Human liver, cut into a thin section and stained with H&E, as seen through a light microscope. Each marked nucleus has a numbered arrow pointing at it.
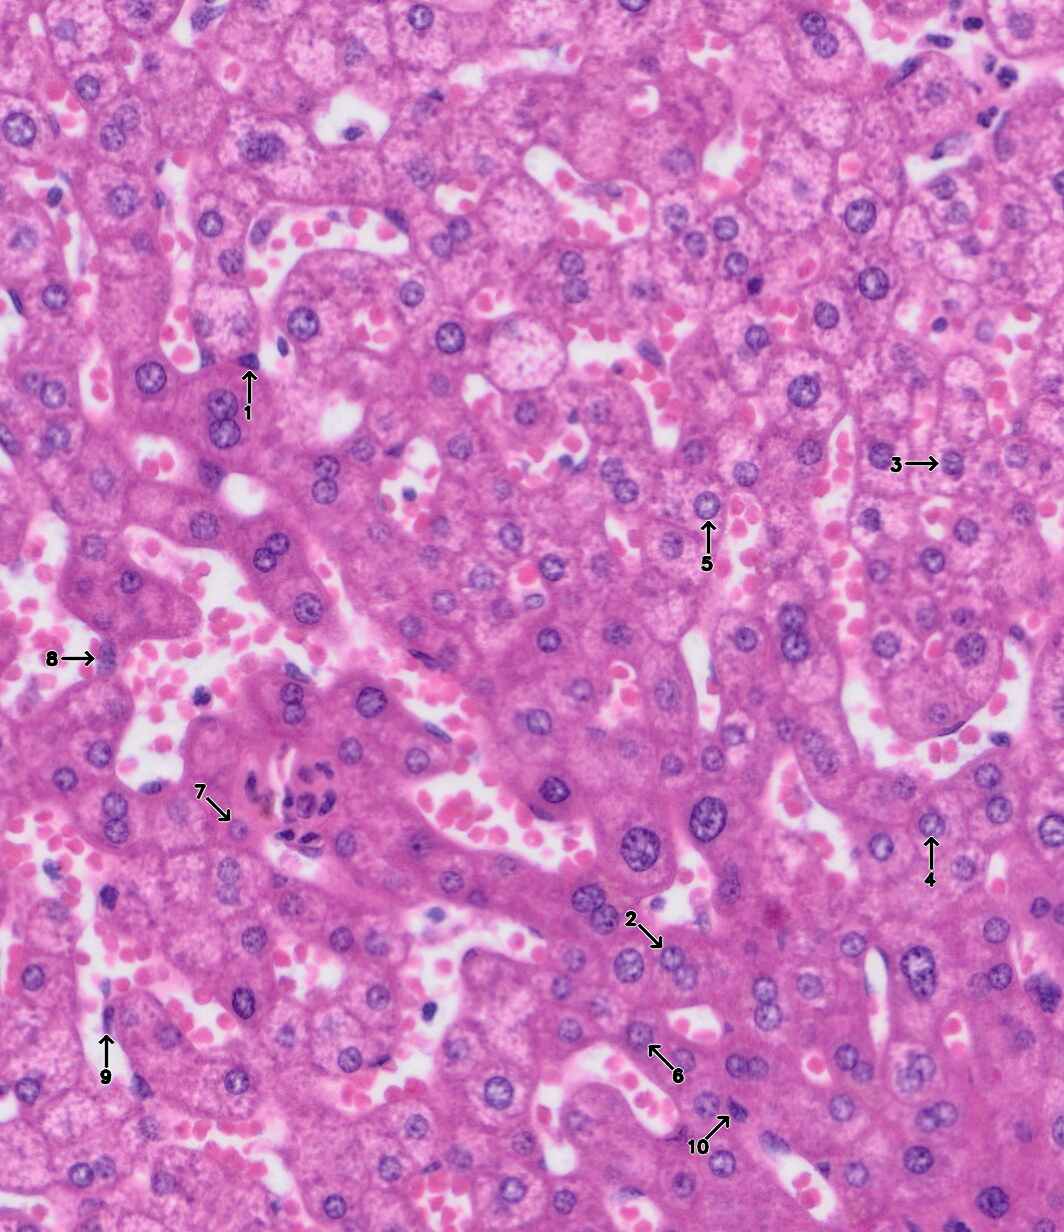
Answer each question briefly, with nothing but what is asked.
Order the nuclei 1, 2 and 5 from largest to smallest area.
5, 2, 1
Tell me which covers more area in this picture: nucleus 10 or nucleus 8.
8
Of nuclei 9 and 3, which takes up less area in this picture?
9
